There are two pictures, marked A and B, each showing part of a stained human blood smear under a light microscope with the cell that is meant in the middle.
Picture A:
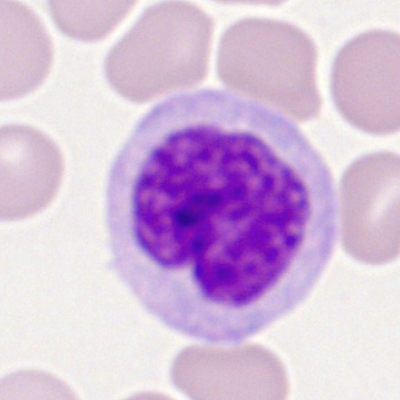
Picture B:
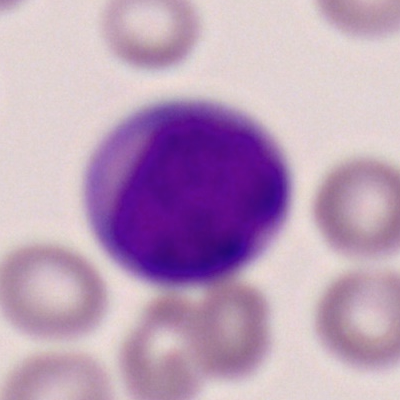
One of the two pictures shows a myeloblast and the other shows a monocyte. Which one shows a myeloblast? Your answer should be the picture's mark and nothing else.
B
